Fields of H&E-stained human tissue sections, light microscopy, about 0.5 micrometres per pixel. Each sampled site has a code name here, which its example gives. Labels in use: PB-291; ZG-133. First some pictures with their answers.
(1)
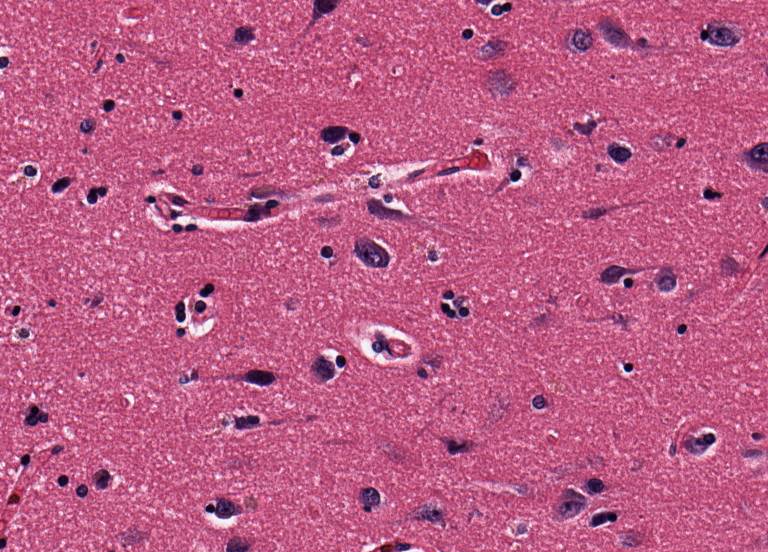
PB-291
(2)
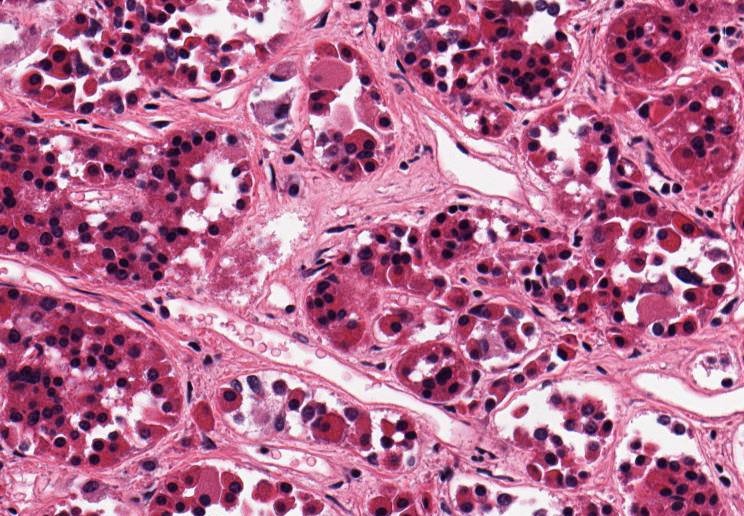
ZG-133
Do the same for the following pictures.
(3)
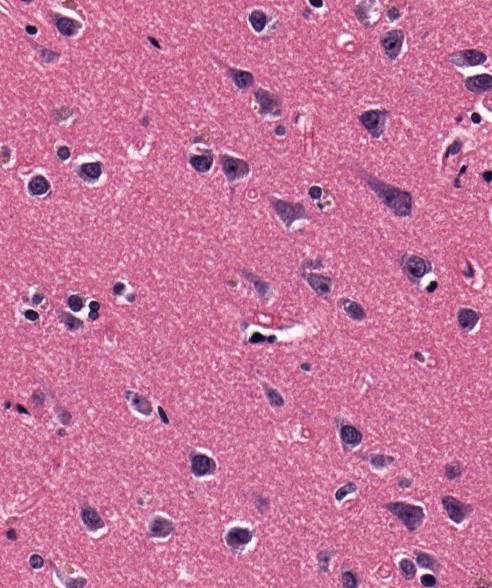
PB-291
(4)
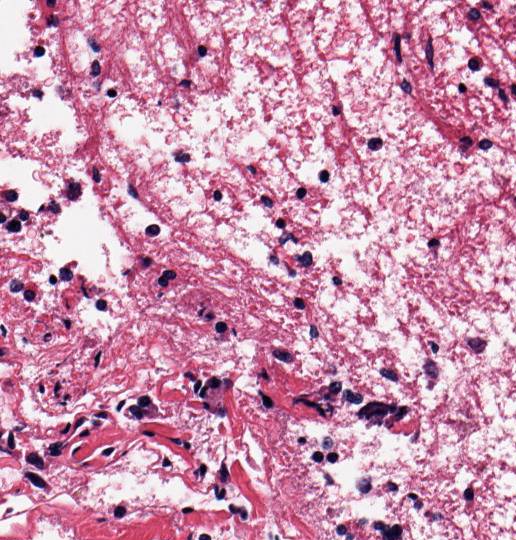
ZG-133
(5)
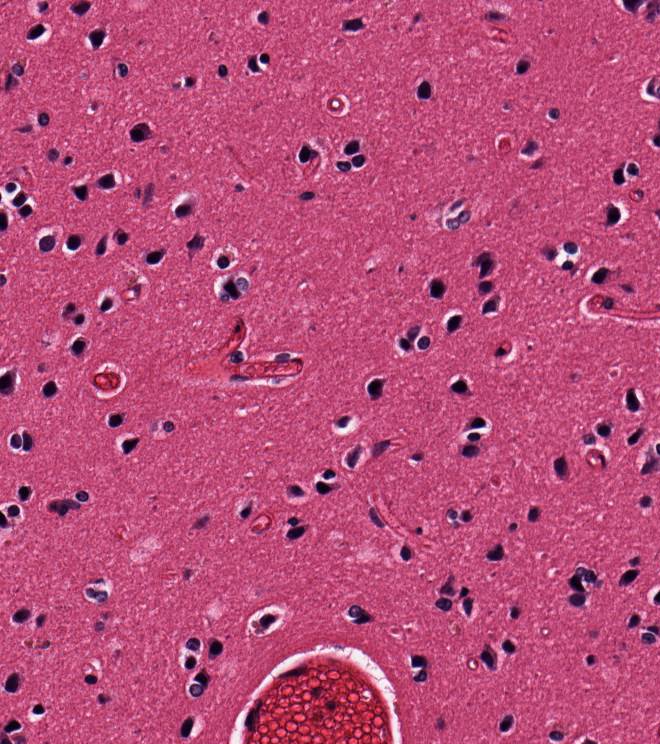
PB-291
